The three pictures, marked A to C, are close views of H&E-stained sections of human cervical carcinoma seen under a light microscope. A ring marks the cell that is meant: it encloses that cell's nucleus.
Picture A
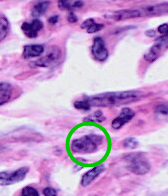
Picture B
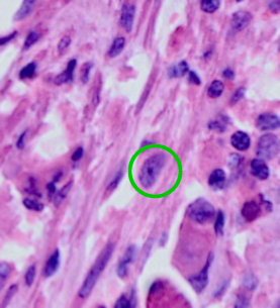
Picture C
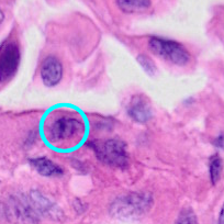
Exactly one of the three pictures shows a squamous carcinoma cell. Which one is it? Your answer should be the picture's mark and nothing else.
C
